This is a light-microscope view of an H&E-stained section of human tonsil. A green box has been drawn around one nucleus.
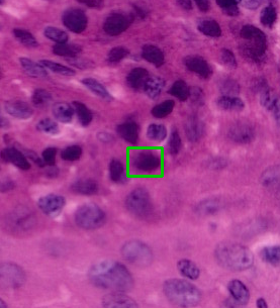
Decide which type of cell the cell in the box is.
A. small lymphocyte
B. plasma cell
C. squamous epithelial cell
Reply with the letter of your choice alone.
C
